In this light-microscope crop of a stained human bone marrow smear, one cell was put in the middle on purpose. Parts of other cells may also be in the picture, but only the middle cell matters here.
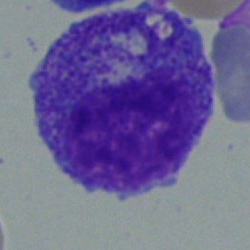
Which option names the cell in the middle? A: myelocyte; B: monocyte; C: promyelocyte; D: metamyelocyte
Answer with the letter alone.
C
